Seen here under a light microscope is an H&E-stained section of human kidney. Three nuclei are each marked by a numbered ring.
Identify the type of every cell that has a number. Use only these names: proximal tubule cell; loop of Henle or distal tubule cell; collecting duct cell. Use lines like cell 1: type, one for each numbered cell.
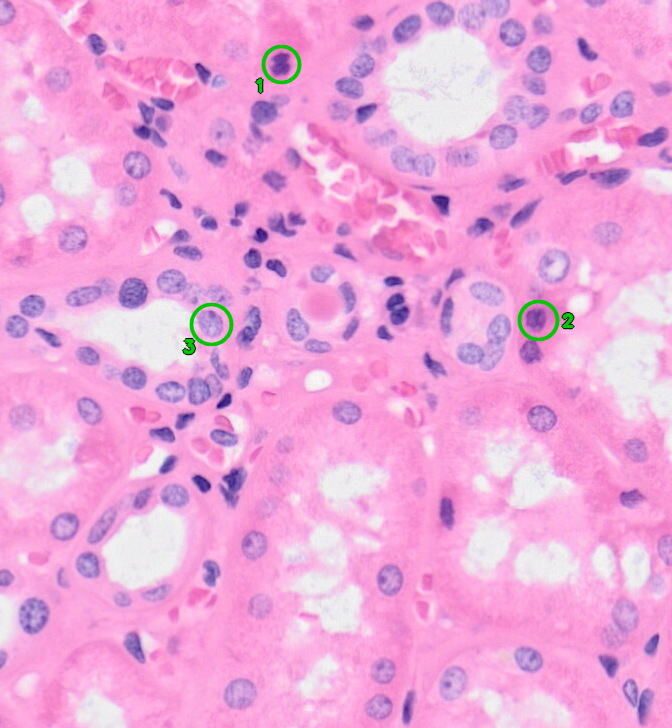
cell 1: proximal tubule cell
cell 2: proximal tubule cell
cell 3: collecting duct cell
